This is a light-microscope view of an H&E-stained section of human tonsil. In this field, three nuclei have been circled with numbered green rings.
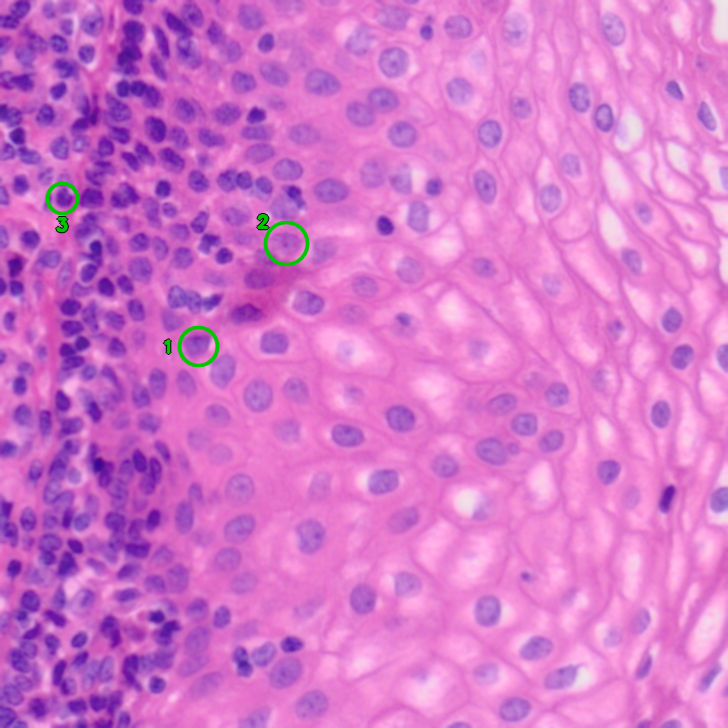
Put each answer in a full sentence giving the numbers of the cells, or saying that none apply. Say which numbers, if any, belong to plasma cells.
Only the cell numbered 3 qualifies as a plasma cell among the marked cells.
